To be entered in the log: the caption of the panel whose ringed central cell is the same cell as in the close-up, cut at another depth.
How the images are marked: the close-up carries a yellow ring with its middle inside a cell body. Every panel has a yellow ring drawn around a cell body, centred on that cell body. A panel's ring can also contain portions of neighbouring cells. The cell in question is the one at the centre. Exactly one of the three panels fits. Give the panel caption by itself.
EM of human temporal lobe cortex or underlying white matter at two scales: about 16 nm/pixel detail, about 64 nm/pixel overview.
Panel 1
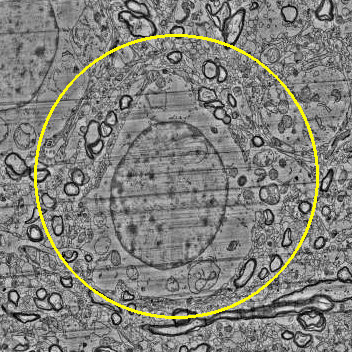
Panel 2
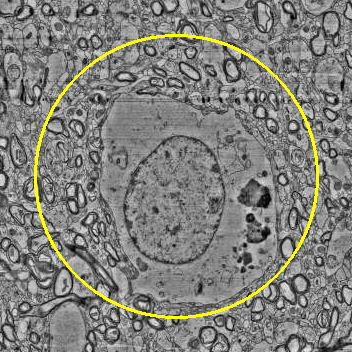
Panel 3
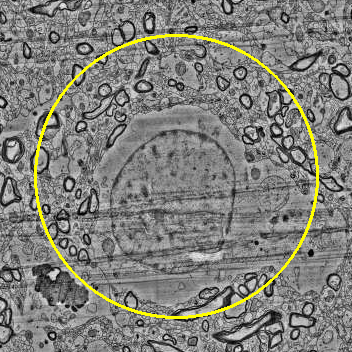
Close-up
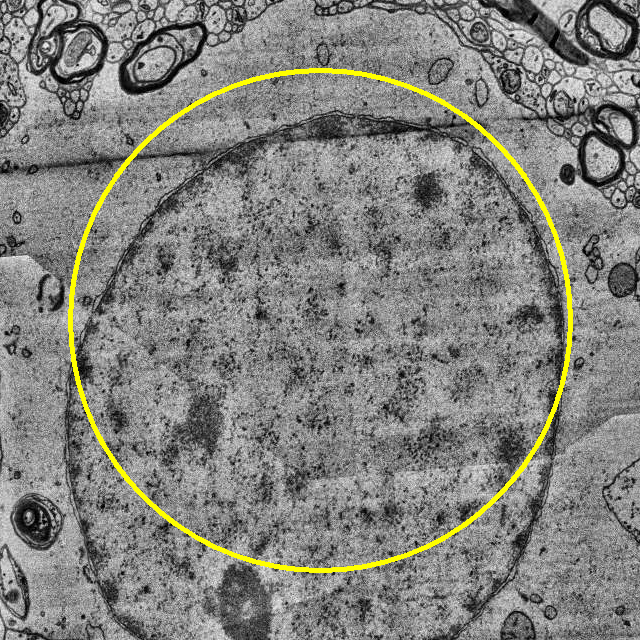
Panel 3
